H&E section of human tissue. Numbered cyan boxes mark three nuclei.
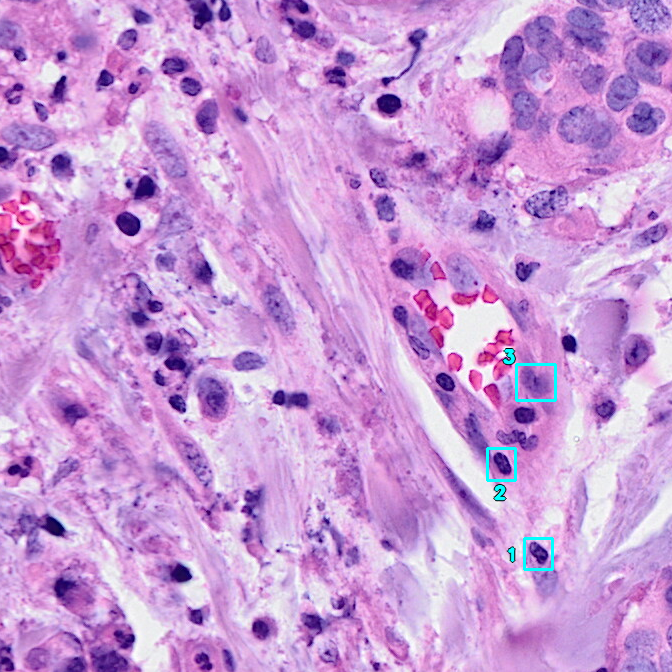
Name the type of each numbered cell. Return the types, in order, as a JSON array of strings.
["lymphocyte", "lymphocyte", "endothelial cell"]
